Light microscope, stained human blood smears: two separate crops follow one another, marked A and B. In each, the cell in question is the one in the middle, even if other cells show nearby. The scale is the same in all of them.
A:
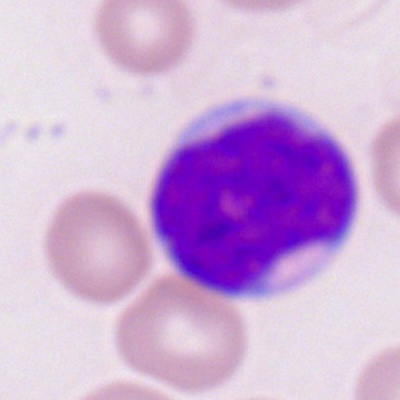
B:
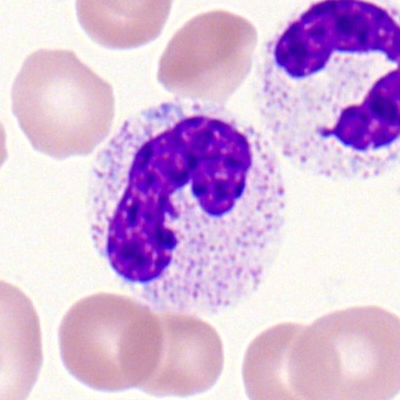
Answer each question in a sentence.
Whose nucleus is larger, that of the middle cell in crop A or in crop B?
The nucleus in crop A is larger, with about 2 times the area of the one in crop B.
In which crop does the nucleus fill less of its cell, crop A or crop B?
Of the two, the nucleus in crop B leaves more room for cytoplasm.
